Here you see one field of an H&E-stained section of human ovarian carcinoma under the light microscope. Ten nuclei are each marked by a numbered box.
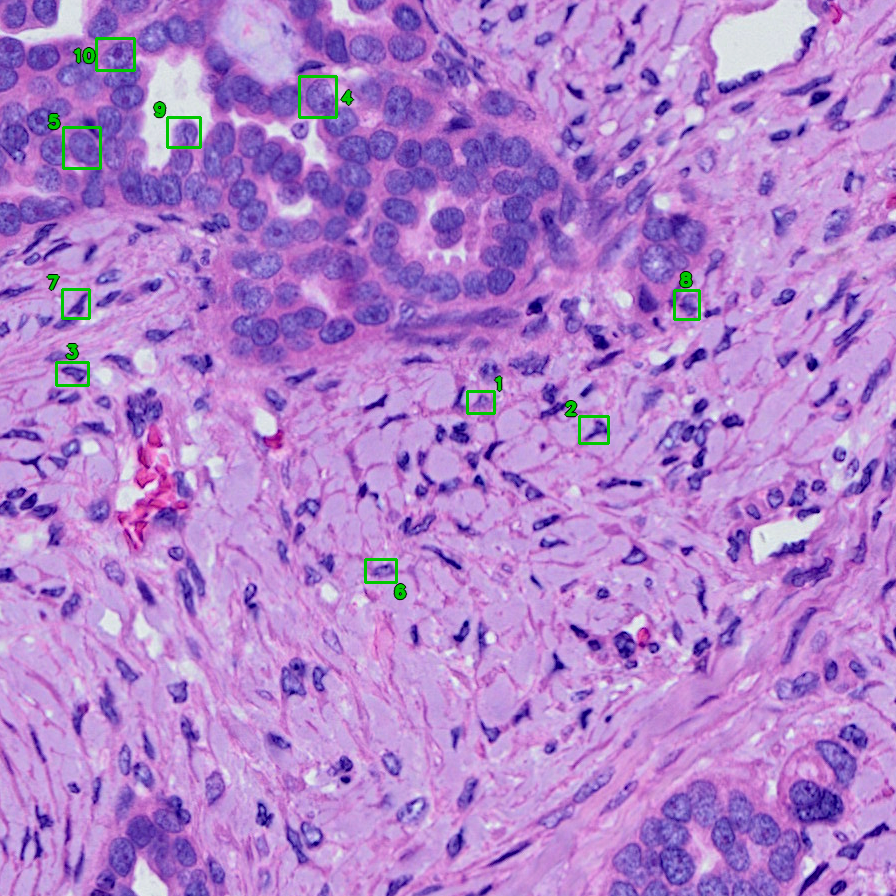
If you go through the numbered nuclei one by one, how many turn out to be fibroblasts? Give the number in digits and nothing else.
6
